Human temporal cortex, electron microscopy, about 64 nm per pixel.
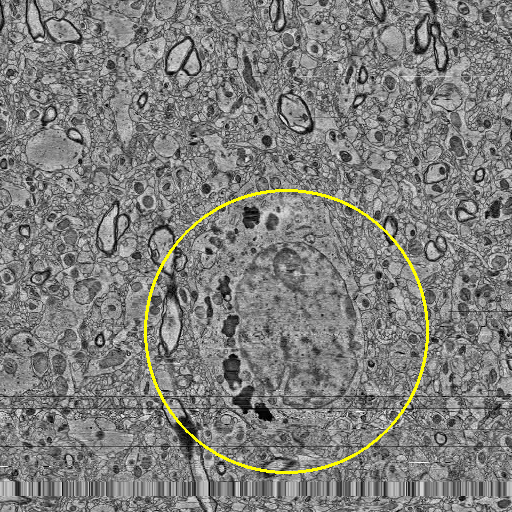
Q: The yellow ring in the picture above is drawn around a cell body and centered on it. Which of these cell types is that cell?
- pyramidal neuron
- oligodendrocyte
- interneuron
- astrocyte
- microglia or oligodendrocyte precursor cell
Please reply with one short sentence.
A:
The cell body at the ring's center belongs to an interneuron.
